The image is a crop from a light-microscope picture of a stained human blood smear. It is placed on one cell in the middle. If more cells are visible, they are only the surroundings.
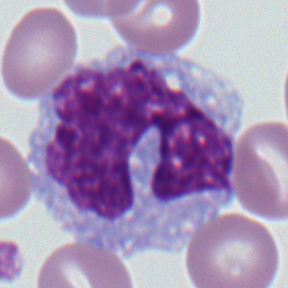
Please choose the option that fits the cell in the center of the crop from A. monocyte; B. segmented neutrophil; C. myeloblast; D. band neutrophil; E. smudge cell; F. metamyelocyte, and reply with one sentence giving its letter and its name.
The cell occupying the centre is a monocyte; option A is thus the correct choice.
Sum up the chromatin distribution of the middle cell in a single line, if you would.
The chromatin of this one is coarsely clumped.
